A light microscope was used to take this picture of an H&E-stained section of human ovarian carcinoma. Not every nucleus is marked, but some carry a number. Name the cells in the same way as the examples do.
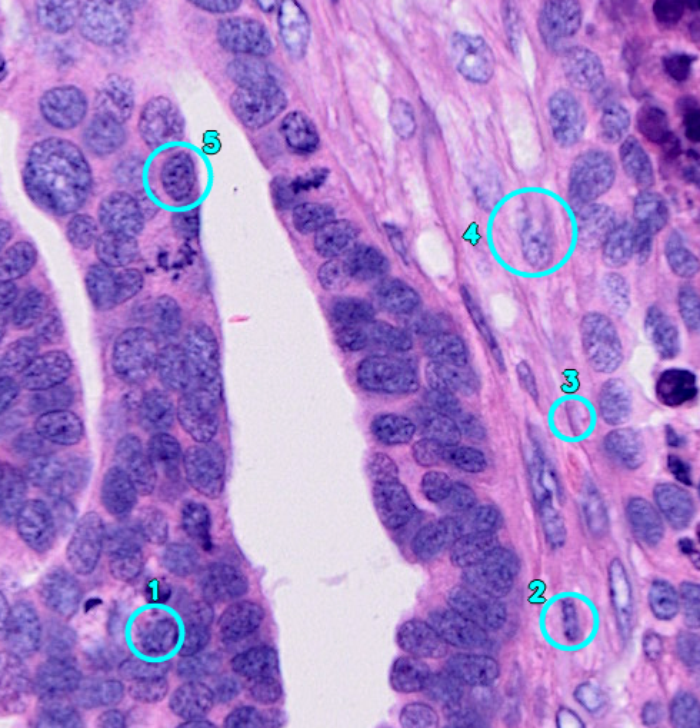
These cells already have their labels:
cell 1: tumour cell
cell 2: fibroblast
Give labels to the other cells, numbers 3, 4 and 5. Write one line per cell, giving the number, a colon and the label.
3: fibroblast
4: fibroblast
5: tumour cell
